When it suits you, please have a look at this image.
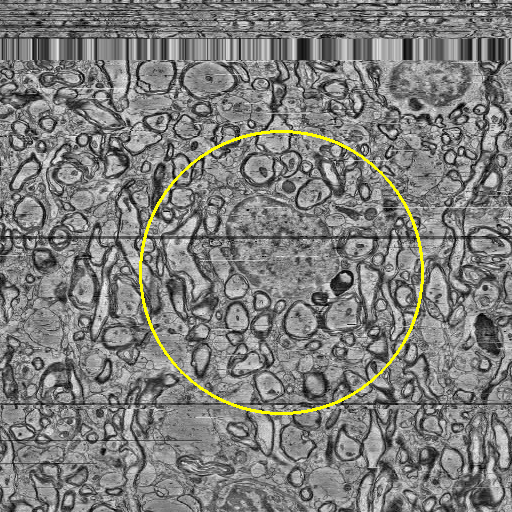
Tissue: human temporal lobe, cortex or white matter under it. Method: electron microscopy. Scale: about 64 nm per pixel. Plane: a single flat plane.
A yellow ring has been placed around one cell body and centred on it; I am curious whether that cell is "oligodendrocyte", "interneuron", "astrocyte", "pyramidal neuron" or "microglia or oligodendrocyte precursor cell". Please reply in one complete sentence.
The ringed cell, an oligodendrocyte, has its body at the centre of the yellow ring.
